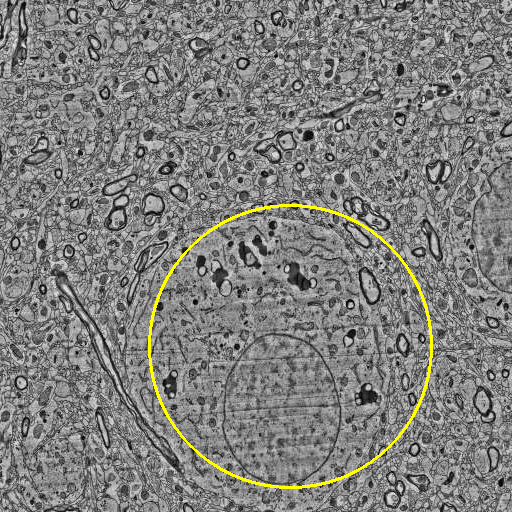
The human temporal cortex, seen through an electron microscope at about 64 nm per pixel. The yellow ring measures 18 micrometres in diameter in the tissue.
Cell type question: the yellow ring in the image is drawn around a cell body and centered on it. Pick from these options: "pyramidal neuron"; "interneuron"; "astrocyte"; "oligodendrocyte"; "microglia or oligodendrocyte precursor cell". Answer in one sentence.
The ringed cell at the center is a pyramidal neuron.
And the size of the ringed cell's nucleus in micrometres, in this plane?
Roughly 10 by 8 micrometres in this plane, for the nucleus of the ringed cell.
